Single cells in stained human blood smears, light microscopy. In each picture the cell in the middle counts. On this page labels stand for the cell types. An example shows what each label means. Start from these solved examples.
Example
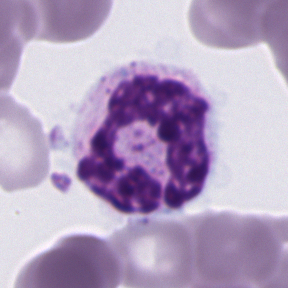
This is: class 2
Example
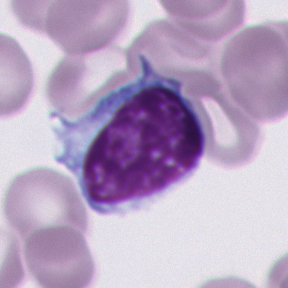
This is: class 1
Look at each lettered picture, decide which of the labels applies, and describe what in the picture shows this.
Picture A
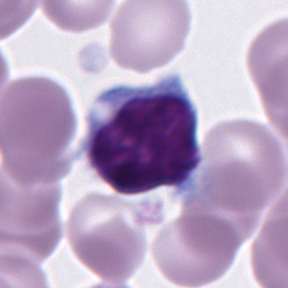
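class 1. Reason: The nucleus fills most of the cell.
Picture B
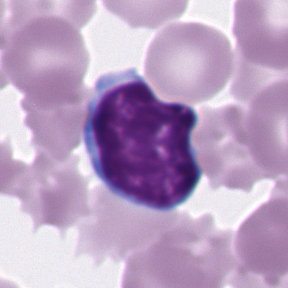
class 1. Reason: The cytoplasm is a scant pale blue rim around the nucleus.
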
